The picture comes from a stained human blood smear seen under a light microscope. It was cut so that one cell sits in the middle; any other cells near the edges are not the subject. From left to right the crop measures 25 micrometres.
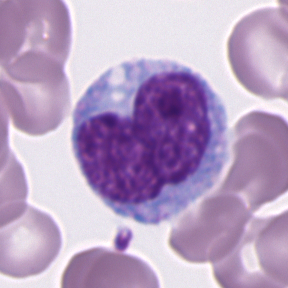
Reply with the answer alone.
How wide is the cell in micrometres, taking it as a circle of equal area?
14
